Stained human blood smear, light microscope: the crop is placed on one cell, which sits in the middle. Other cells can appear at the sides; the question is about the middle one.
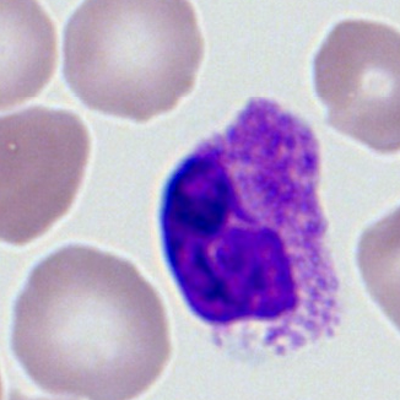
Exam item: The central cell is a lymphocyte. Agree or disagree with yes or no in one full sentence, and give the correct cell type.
No, this cell in the middle is a basophil, so it is not a lymphocyte.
